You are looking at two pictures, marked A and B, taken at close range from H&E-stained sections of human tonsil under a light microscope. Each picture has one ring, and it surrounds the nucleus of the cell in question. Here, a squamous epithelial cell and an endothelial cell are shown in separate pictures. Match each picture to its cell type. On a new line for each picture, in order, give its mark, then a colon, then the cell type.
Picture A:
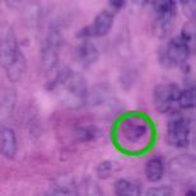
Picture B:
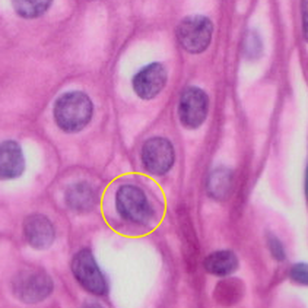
A: endothelial cell
B: squamous epithelial cell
